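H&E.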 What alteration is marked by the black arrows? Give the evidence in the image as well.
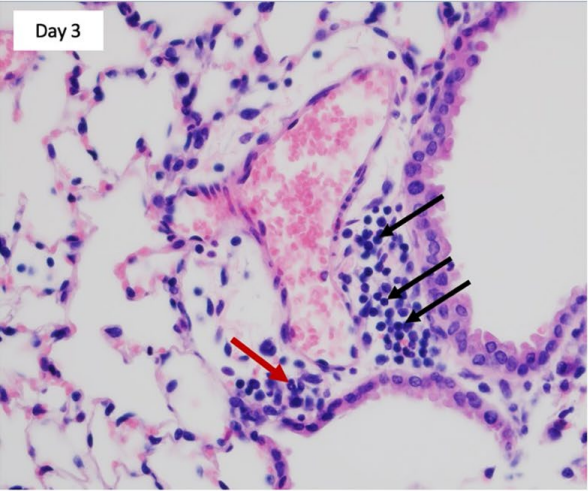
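Perivascular aggregates. A cluster of small cells with dark round nuclei lies in the wall beside a blood vessel filled with red blood cells. The cluster sits between the vessel and an airway lined by epithelium.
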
